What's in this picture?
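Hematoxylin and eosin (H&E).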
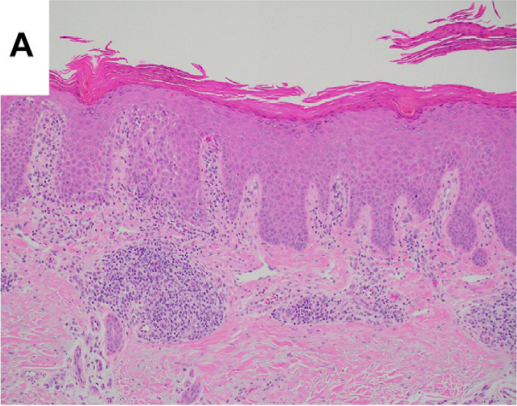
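This section of skin shows a thickened epidermis with irregular psoriasiform hyperplasia, its rete ridges elongated and of unequal length, beneath a pink cornified layer that is partly lifting away. In the upper dermis, dense clusters of small cells with dark round nuclei form a lymphocytic infiltrate. The infiltrate gathers in the papillary dermis and around small vessels. Beneath it lies paler pink collagen of the deeper dermis.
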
